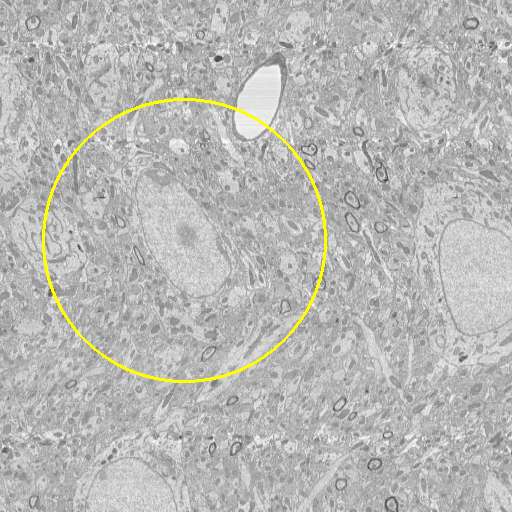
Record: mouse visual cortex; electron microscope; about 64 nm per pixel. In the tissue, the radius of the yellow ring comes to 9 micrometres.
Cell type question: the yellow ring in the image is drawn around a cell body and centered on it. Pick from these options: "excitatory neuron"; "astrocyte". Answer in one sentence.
The ringed cell at the center is an astrocyte.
